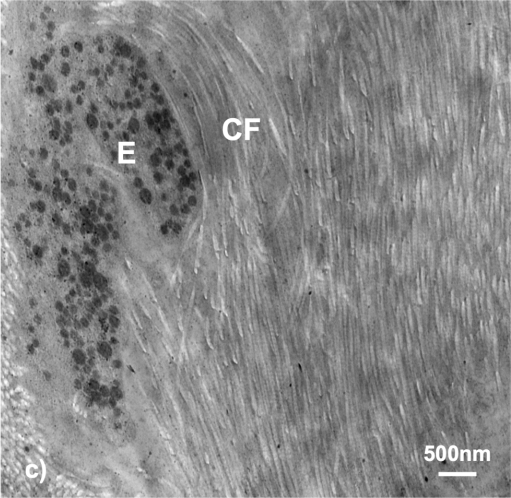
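On the left, an elongated cluster of many small, rounded, grey to dark grey granules of uneven size fills a cell-shaped region. To the right, long, slightly wavy fibril bundles run mostly from top to bottom and curve along the edge of the granule-filled region, wrapping around it. The fibrils appear as fine streaks with pale gaps between them, giving the right part of the field a combed texture.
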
